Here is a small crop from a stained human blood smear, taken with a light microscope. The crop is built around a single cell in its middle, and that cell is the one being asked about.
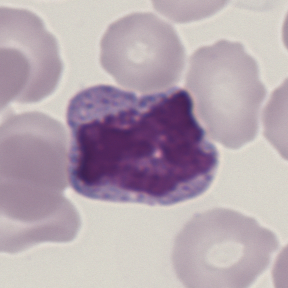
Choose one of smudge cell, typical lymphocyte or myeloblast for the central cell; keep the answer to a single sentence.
The crop centres on a single cell, and that cell is a typical lymphocyte.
